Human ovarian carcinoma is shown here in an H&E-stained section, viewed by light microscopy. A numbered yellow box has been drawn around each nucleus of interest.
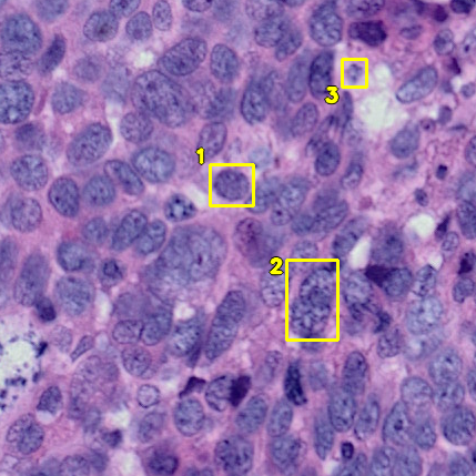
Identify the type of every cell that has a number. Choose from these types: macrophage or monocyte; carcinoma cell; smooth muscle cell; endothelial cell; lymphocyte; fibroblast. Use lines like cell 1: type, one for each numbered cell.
cell 1: carcinoma cell
cell 2: carcinoma cell
cell 3: macrophage or monocyte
